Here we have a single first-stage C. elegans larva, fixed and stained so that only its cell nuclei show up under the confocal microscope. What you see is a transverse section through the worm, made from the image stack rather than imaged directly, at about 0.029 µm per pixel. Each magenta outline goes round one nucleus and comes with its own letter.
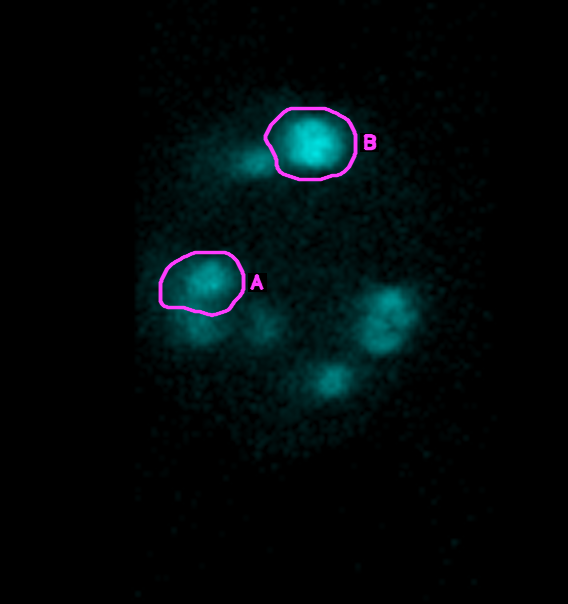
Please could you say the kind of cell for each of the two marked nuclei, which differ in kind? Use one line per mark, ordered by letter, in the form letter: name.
A: neuron
B: coelomocyte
